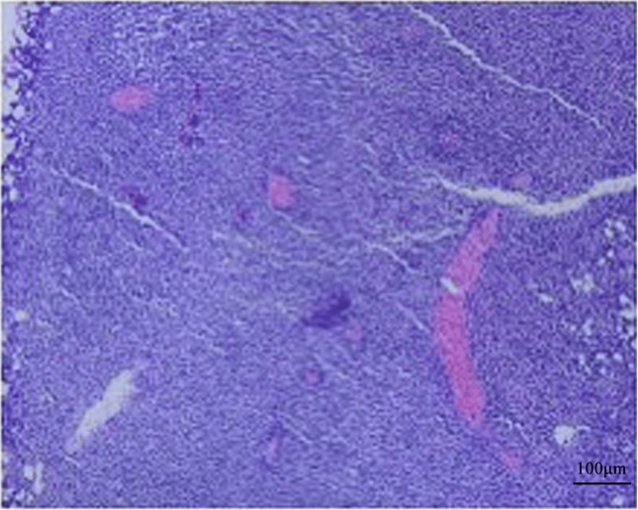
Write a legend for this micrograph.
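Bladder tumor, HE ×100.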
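The cells are packed so densely that the field reads as a continuous purple-blue mass of nuclei, with hardly any intervening stroma. A few small vessels and pink patches of red blood cells lie scattered within the infiltrate. Thin pale clefts run through the tissue, most likely artefacts of sectioning.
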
